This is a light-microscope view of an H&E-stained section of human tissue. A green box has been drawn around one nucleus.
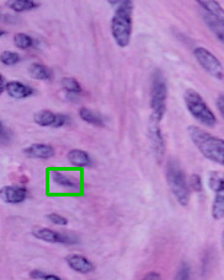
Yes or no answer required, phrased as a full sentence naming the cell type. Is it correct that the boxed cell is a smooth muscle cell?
Yes, where cell type is concerned, the boxed cell is a smooth muscle cell.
